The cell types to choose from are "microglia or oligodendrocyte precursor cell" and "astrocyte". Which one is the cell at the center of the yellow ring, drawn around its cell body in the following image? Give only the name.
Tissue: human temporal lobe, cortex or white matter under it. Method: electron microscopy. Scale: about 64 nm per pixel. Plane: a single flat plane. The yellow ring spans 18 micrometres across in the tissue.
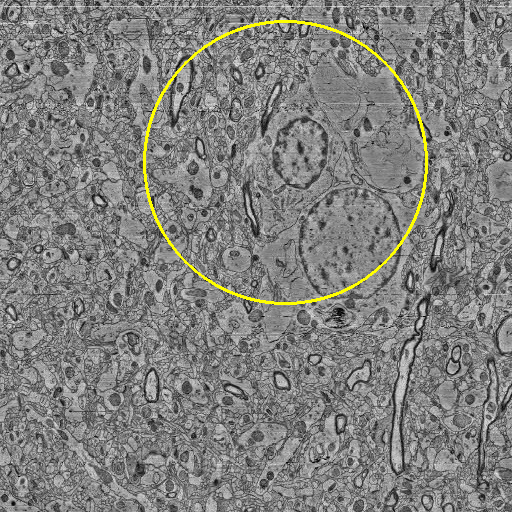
microglia or oligodendrocyte precursor cell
